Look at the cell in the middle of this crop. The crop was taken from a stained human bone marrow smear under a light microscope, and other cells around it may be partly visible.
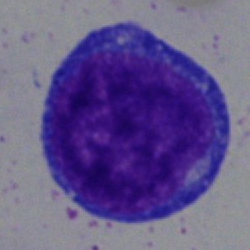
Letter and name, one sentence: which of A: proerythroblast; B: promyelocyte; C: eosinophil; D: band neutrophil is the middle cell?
In the centre of the crop there is a proerythroblast, making option A correct.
